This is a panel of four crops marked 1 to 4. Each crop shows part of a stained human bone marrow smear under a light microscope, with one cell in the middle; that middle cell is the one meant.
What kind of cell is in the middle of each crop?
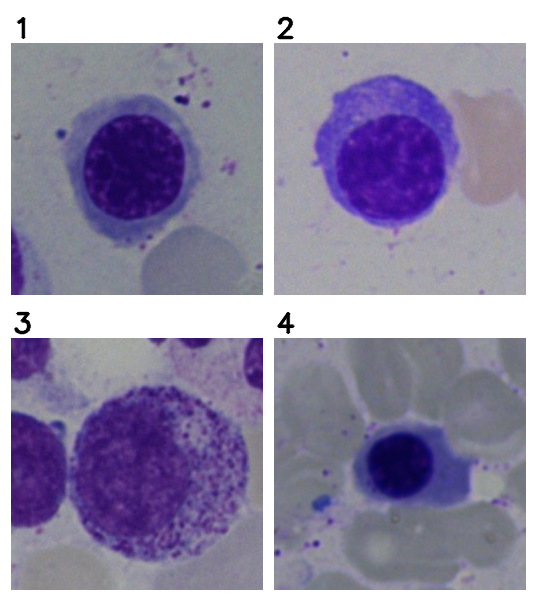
1: normoblast
2: plasma cell
3: myelocyte
4: normoblast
